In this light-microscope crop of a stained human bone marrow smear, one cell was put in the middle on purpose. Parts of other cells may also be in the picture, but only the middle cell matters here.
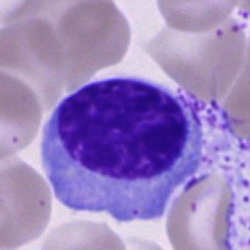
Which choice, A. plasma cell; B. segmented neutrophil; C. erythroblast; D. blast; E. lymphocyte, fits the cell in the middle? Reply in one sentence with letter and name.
Option A is right, the centrally situated cell being a plasma cell.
